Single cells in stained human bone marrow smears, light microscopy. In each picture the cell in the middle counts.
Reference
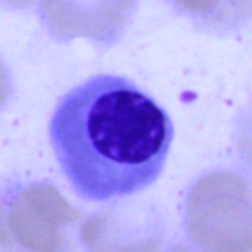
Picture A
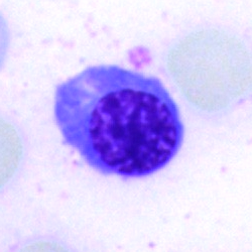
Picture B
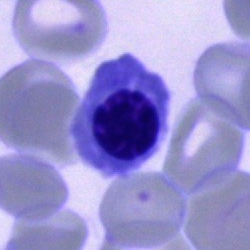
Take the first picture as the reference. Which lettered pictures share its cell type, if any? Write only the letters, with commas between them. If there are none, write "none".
A, B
